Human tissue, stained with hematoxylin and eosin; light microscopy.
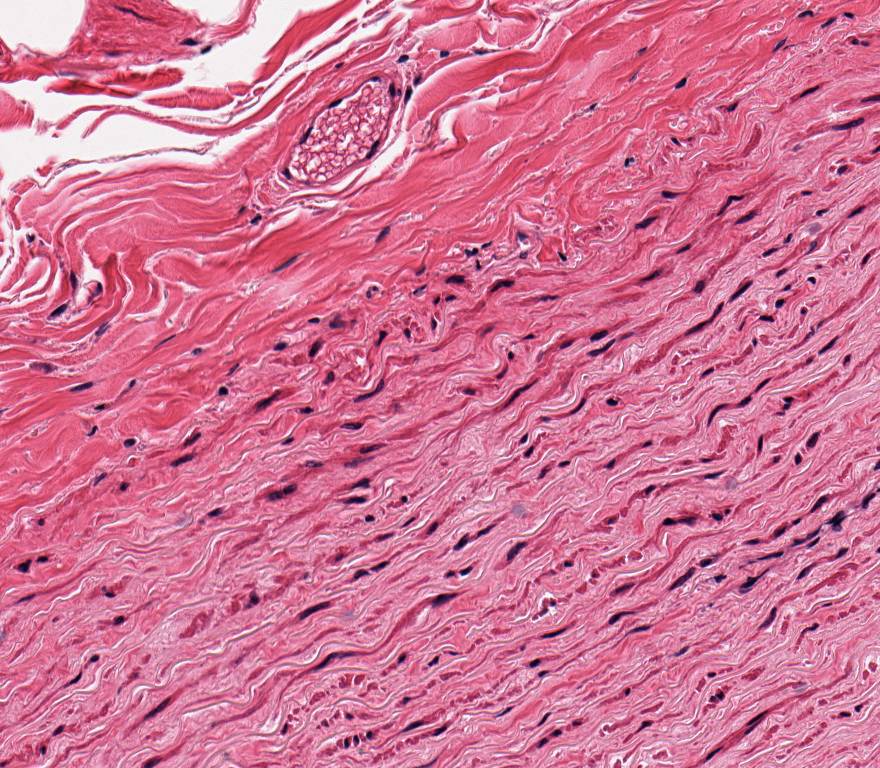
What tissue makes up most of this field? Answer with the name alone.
tunica media of an artery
